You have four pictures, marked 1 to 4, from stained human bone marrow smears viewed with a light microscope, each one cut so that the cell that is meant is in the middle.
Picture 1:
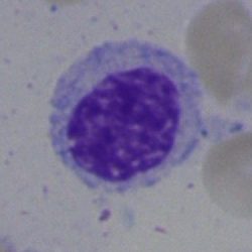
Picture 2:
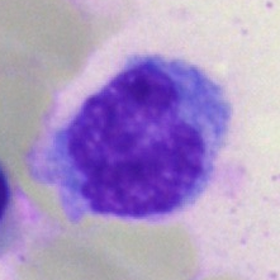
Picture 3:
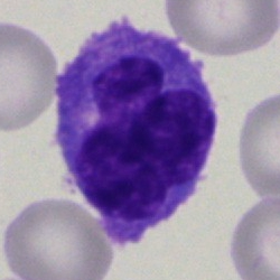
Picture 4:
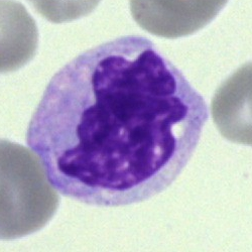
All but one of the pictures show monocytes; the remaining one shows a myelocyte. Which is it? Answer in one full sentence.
The picture with the myelocyte is 1.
